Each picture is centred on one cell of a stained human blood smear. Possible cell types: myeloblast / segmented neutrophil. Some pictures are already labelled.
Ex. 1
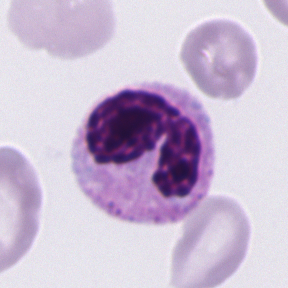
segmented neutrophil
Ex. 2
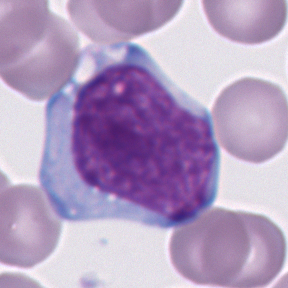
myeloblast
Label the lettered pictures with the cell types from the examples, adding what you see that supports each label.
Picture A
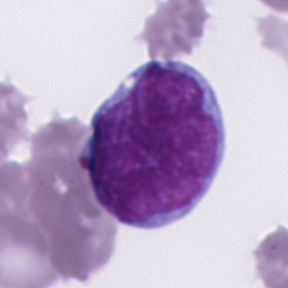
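myeloblast: The cytoplasm forms only a thin rim around the nucleus.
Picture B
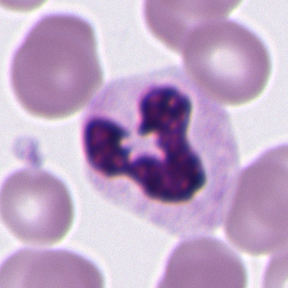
segmented neutrophil: The cytoplasm is plentiful and pale lilac-pink.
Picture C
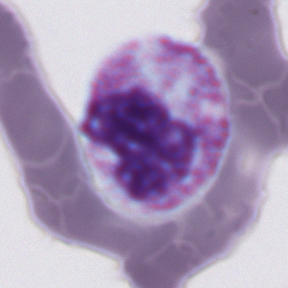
segmented neutrophil: The cytoplasm is plentiful and pale, with most of it above the nucleus.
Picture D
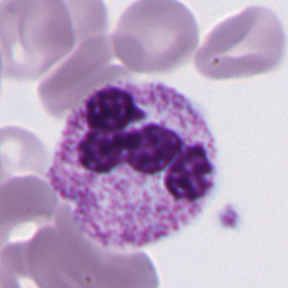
segmented neutrophil: The nucleus is divided into four separate lobes.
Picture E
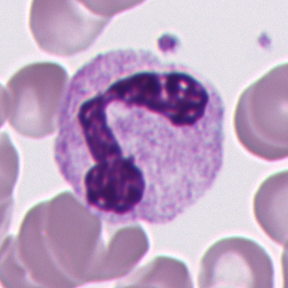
segmented neutrophil: The cytoplasm is abundant and pale pinkish-lilac.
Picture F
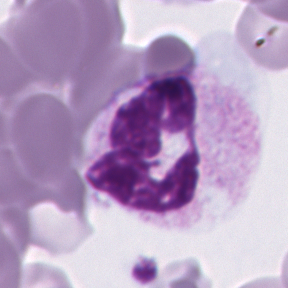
segmented neutrophil: The nucleus is a thick curved band that loops around a pale central gap, like a ring.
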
